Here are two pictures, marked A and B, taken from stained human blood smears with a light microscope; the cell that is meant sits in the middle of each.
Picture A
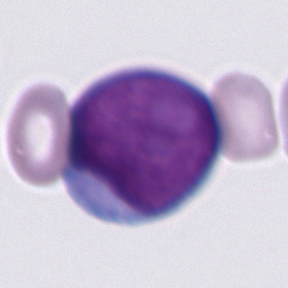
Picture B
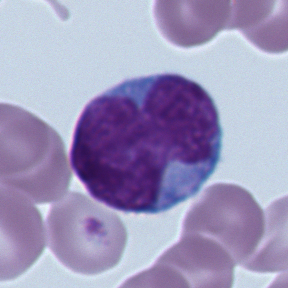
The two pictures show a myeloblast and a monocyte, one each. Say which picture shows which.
A: myeloblast
B: monocyte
